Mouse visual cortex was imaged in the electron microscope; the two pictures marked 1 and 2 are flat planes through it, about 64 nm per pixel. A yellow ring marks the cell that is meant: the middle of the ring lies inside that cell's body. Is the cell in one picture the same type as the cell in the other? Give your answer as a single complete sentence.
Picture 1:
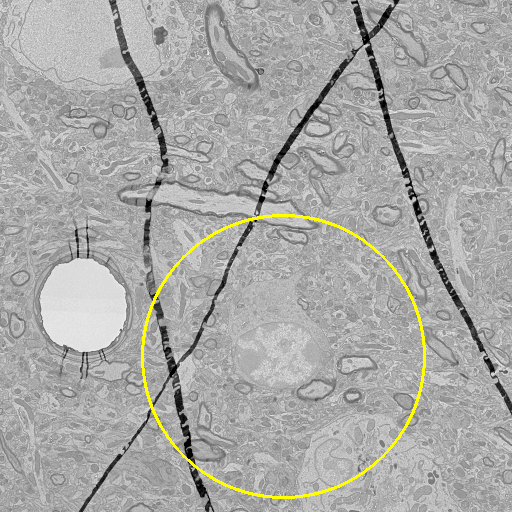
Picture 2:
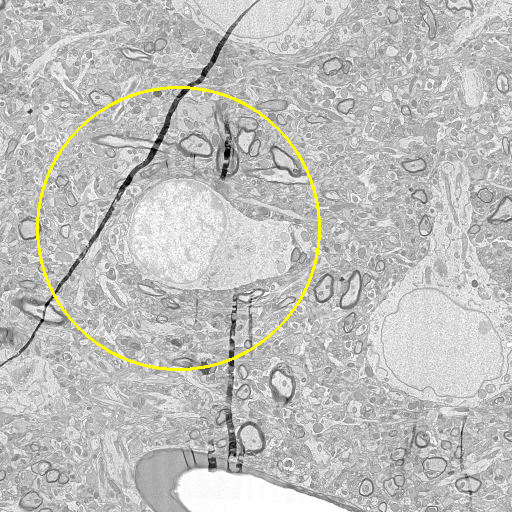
Yes; the cells in both pictures are oligodendrocytes.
